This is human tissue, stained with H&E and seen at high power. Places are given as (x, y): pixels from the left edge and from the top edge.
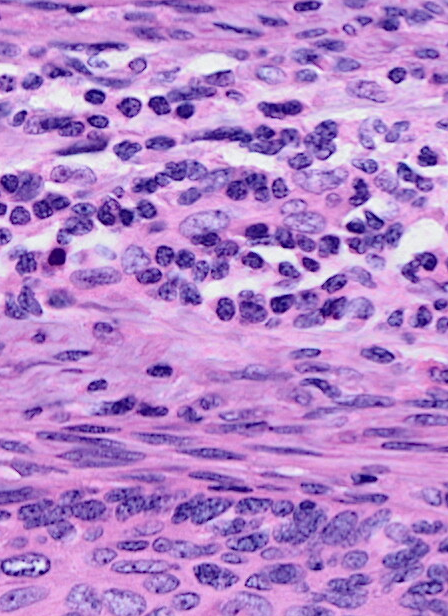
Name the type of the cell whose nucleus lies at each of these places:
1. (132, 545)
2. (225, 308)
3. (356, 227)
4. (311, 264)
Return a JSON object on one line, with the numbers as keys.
{"1": "squamous carcinoma cell", "2": "lymphocyte", "3": "lymphocyte", "4": "lymphocyte"}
